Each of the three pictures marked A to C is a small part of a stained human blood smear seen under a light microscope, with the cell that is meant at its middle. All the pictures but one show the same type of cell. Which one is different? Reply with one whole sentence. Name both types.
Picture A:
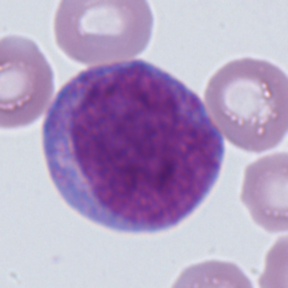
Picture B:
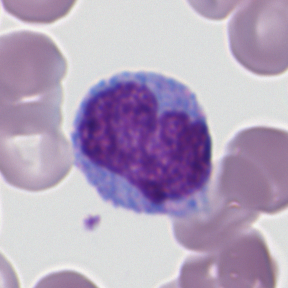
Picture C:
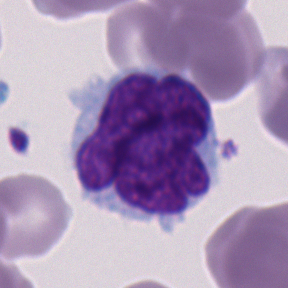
All pictures except A show monocytes; picture A shows a promyelocyte.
